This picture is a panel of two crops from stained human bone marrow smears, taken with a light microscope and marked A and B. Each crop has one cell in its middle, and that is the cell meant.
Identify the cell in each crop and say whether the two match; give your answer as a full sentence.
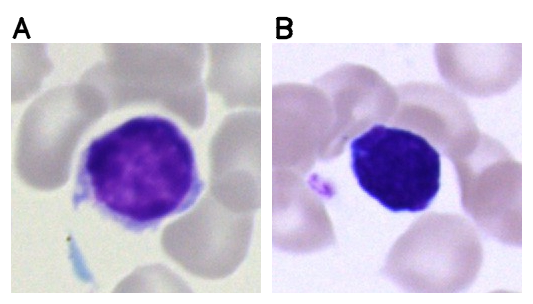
Yes, the cells centred in the two crops are both lymphocytes.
